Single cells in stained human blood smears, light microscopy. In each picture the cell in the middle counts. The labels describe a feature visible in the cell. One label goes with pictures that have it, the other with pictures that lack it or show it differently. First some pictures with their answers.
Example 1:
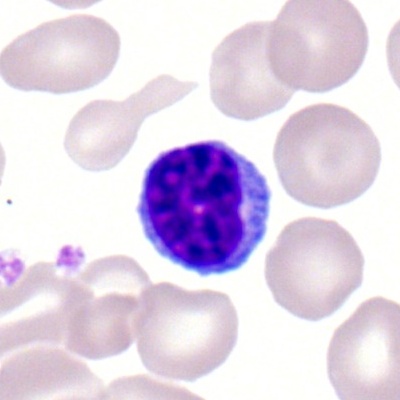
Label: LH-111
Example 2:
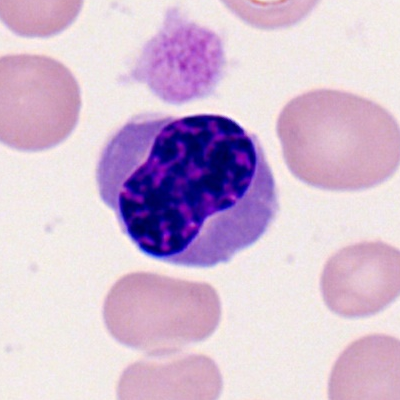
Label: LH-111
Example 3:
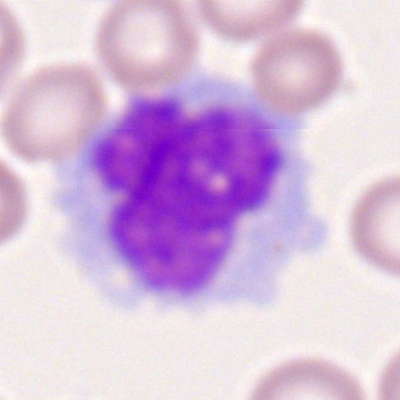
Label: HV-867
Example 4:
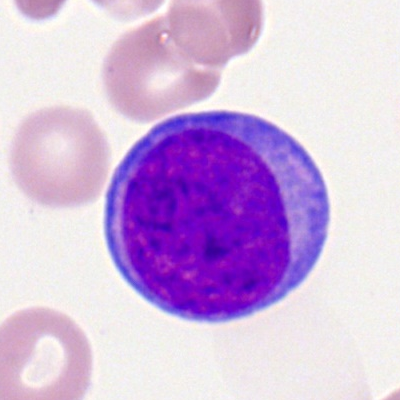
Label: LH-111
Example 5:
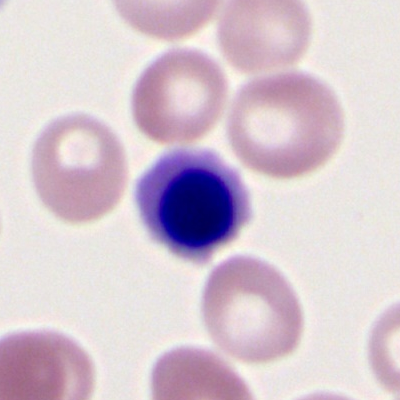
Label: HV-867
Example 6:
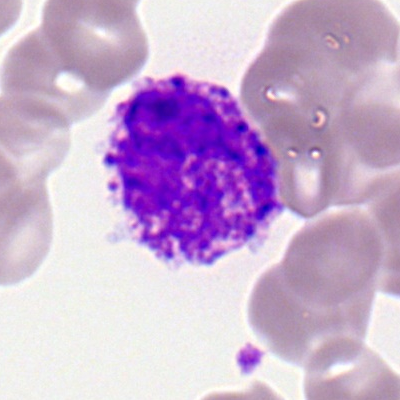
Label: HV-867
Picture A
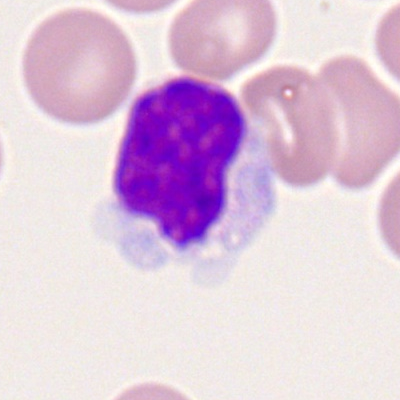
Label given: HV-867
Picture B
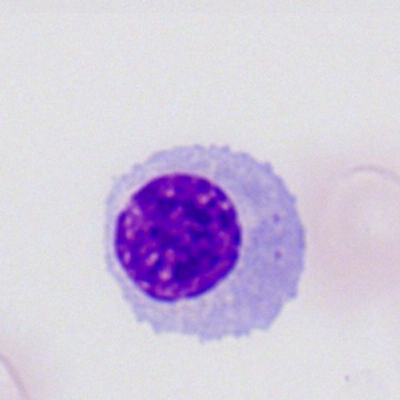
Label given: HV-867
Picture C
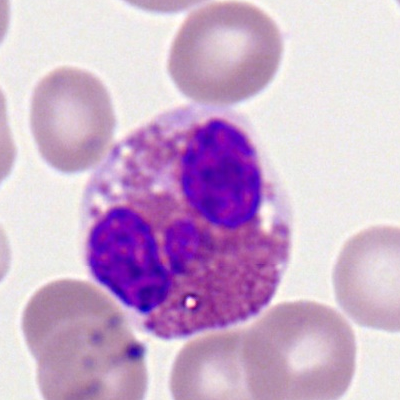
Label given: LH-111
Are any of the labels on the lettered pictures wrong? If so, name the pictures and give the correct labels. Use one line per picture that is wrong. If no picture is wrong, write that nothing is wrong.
None of the labels needs changing.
